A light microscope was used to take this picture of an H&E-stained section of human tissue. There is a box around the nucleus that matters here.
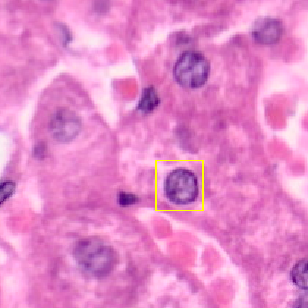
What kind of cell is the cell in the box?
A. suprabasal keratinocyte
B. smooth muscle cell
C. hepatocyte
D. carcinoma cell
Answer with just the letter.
C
